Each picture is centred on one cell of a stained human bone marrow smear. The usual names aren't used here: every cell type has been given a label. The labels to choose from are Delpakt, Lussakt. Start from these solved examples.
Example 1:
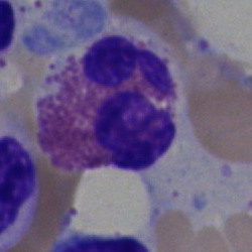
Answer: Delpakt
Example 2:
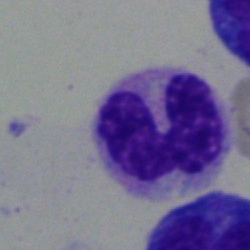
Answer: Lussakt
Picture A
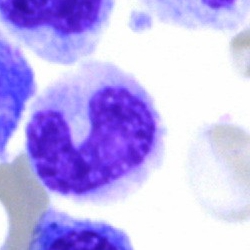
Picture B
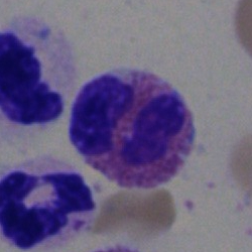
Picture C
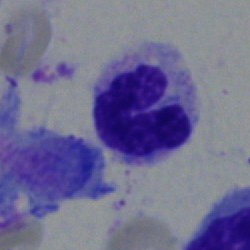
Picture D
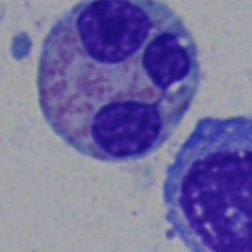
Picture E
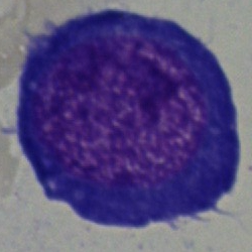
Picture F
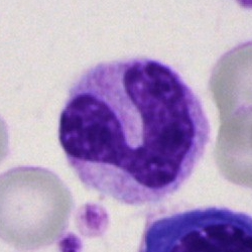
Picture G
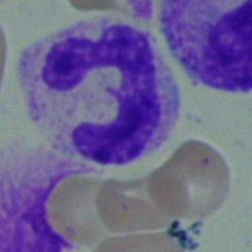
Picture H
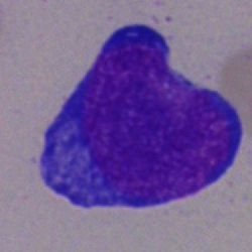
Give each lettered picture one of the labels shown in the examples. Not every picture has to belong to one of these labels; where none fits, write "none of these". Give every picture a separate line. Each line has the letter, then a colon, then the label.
A: Lussakt
B: Delpakt
C: Lussakt
D: Delpakt
E: none of these
F: Lussakt
G: Lussakt
H: none of these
